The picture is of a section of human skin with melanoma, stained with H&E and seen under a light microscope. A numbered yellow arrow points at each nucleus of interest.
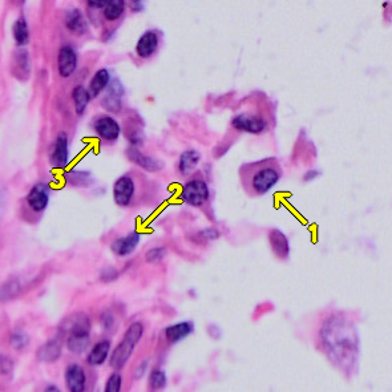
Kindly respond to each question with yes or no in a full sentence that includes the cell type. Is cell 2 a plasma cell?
No, the cell referred to as 2 is a lymphocyte, not a plasma cell.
